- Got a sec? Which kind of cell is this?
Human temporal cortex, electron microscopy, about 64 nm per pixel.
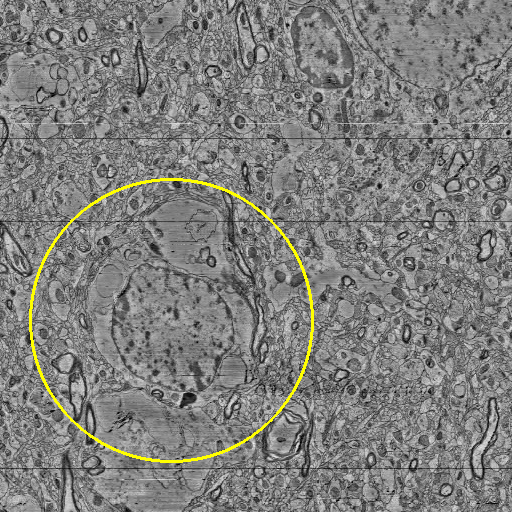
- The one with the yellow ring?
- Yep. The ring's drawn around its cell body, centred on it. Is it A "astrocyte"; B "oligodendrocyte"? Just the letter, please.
A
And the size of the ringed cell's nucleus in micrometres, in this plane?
The nucleus has a long axis of about 9 micrometres and a short axis of about 8 micrometres in this plane.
